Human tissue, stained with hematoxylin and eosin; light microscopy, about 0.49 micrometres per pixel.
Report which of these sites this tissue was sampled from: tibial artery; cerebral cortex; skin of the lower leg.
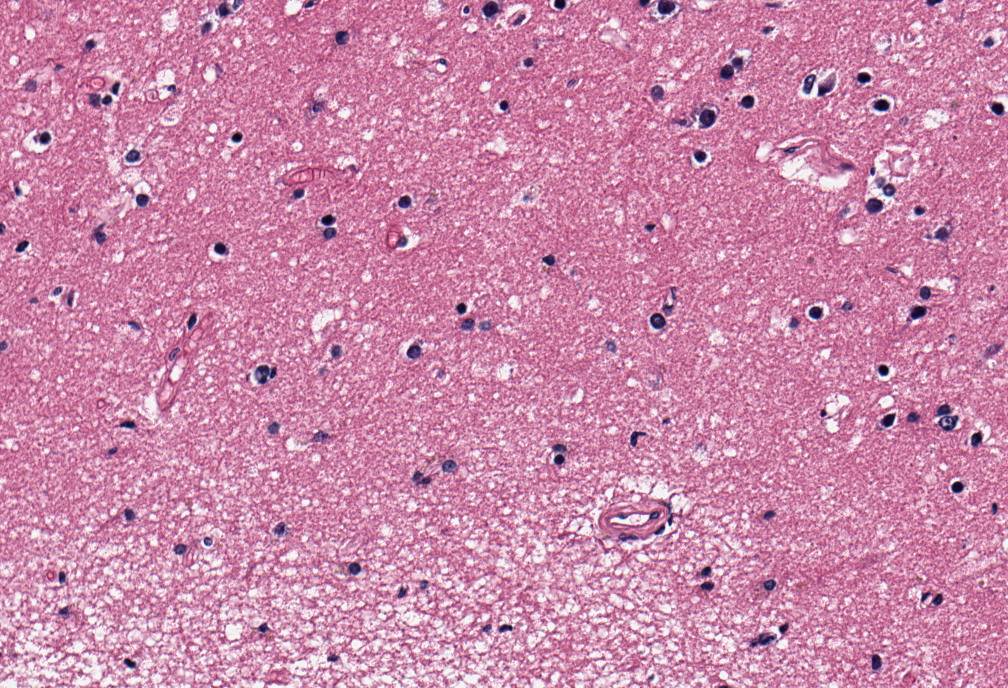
cerebral cortex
